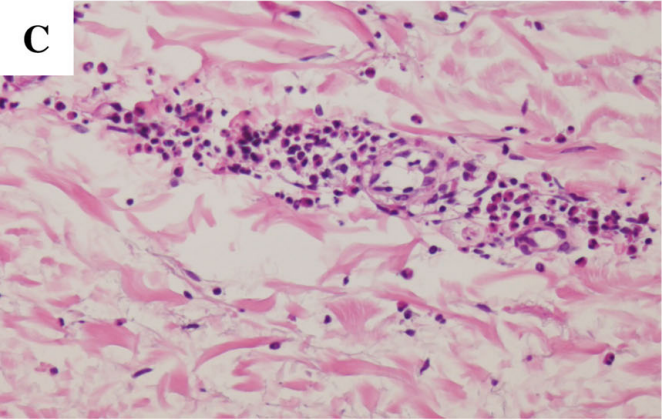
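Dermis of skin with a perivascular inflammatory infiltrate that includes eosinophils. A band of small round cells with dark nuclei surrounds a small vessel running across the middle of the field. Several of these cells show pink cytoplasm. Around them lie loose, wavy, pale pink collagen bundles separated by clear spaces, with only sparse scattered nuclei.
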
